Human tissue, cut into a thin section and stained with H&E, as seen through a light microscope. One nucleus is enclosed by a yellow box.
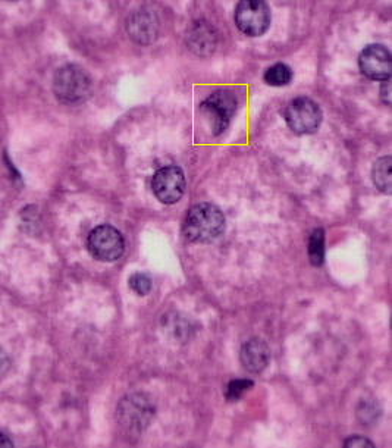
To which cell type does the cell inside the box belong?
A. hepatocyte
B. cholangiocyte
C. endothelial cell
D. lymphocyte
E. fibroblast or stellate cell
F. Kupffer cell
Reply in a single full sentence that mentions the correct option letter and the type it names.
Under option F, the cell inside the box is listed as a Kupffer cell, which is correct.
